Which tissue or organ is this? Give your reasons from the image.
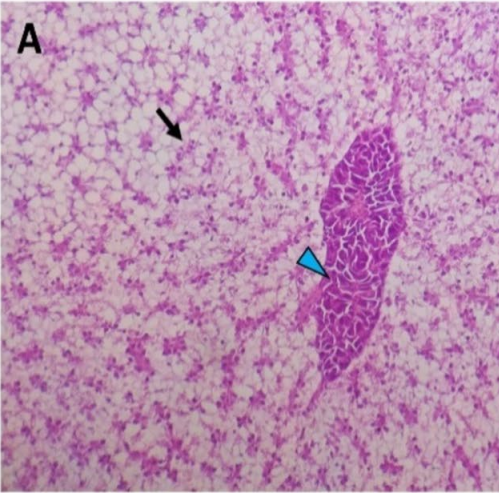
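Hepatopancreas. Sheets of polygonal cells with pale, clear cytoplasm and small dark nuclei fill most of the field.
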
